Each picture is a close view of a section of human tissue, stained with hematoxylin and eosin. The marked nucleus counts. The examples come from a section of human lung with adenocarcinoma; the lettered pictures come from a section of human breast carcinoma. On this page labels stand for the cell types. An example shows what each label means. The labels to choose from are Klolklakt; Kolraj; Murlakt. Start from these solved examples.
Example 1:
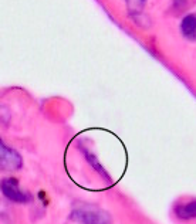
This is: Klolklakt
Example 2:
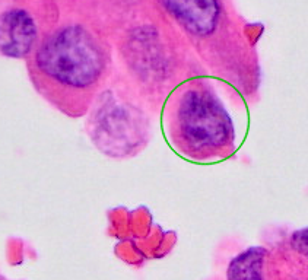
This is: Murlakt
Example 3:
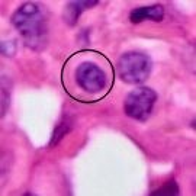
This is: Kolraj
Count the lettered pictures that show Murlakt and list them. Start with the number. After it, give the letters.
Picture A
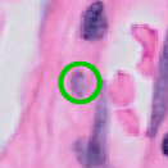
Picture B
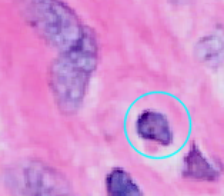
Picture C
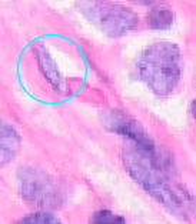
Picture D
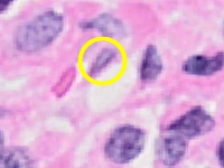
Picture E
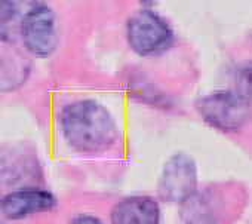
1: E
